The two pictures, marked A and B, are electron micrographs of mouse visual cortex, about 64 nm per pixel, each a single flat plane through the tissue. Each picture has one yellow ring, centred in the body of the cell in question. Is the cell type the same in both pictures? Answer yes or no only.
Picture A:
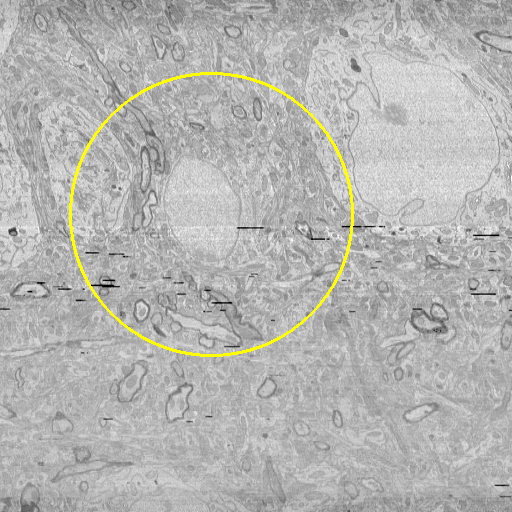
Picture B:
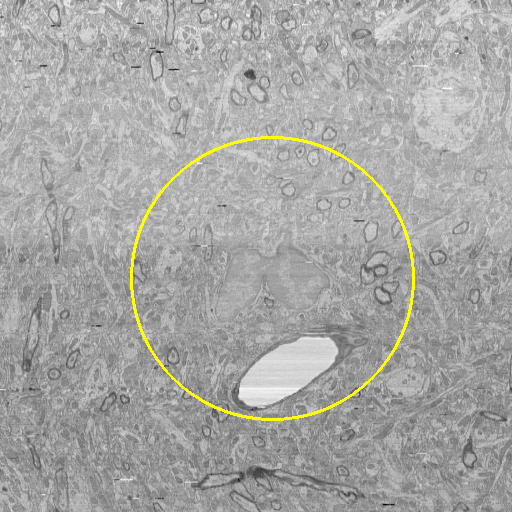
no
